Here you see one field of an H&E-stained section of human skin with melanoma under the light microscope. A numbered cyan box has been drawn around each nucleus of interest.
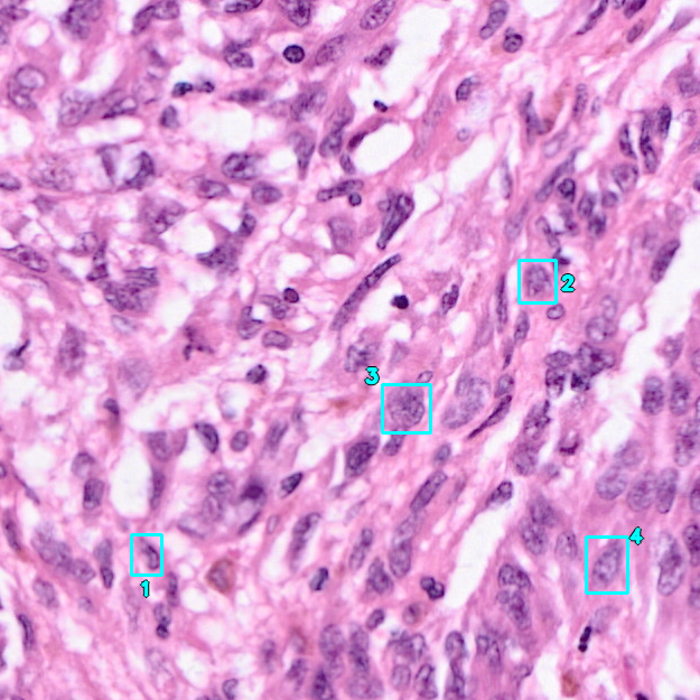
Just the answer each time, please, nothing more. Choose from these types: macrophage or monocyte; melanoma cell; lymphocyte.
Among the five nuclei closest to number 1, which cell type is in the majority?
melanoma cell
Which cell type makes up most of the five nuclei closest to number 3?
melanoma cell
